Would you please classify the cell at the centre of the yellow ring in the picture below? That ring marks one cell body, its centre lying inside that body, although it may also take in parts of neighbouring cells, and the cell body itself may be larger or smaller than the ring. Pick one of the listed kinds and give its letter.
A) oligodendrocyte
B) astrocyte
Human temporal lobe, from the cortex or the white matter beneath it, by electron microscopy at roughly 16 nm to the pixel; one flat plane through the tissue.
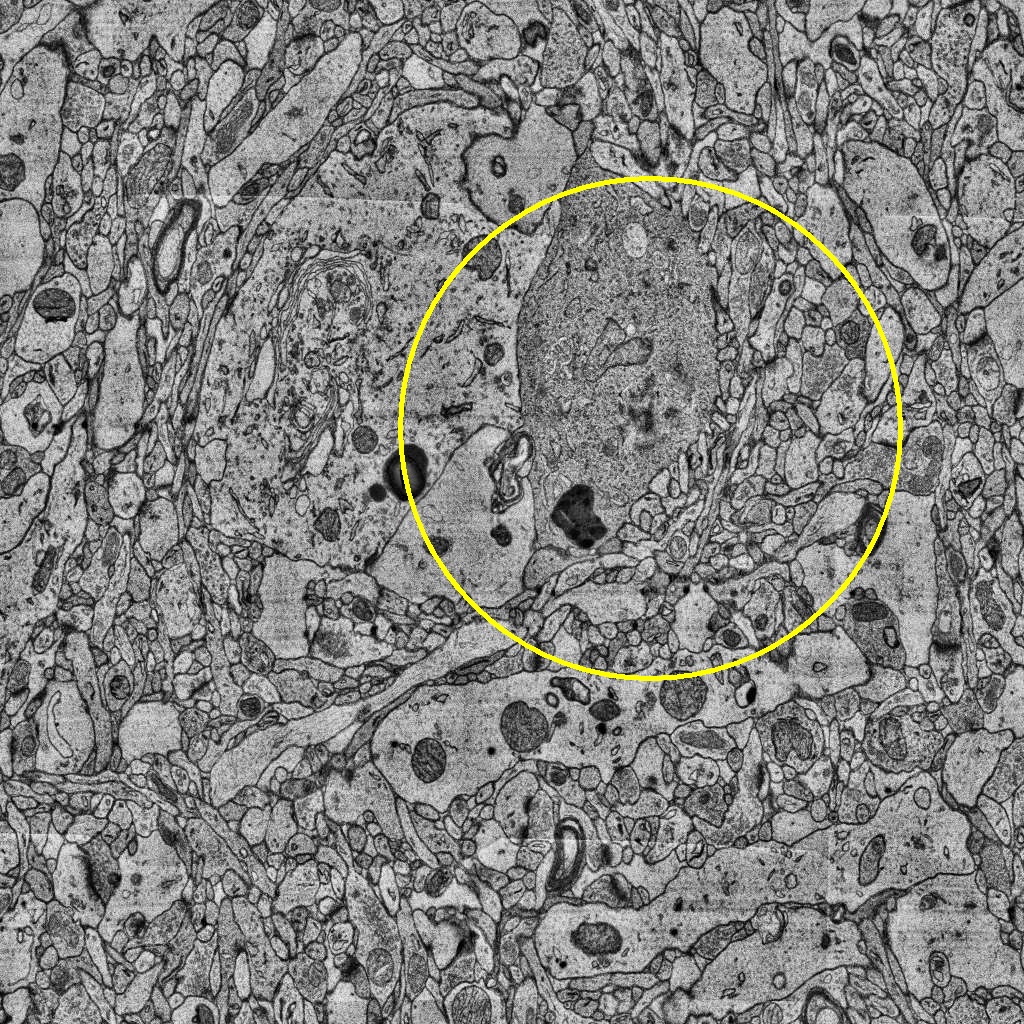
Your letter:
A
